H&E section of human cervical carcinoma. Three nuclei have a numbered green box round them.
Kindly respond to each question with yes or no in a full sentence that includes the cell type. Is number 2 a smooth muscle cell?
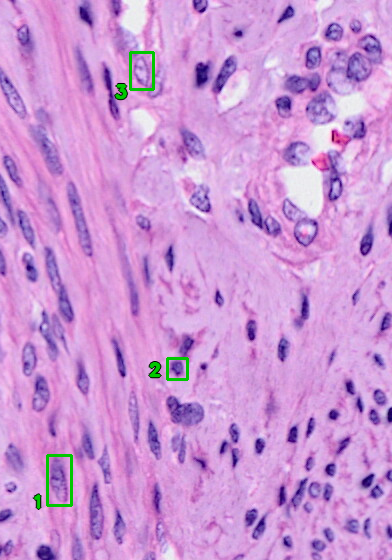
Yes, the cell with the number 2 is a smooth muscle cell.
